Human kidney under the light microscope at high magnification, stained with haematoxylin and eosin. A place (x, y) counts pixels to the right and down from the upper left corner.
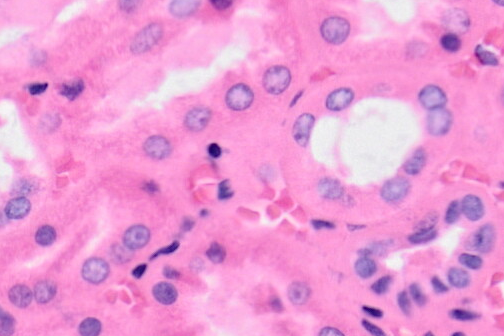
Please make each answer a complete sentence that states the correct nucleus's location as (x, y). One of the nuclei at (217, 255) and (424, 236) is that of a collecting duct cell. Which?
Which one belongs to a collecting duct cell? The nucleus at (424, 236) does.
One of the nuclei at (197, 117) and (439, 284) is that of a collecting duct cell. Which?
Between the two nuclei, the one sitting at (439, 284) belongs to a collecting duct cell.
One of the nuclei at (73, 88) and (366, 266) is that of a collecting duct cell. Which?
The nucleus whose cell is a collecting duct cell is the one at (366, 266).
